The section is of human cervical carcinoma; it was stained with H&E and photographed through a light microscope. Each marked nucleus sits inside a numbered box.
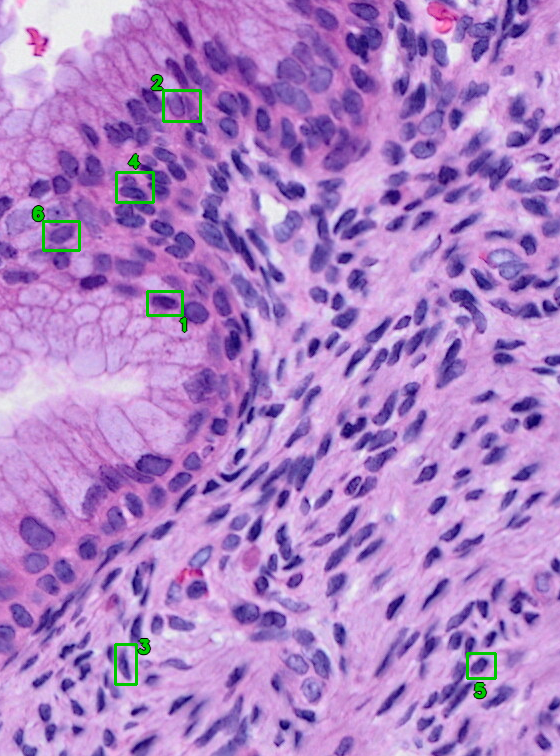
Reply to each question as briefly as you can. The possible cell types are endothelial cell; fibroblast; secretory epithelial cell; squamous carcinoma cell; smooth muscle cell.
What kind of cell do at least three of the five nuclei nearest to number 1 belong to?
secretory epithelial cell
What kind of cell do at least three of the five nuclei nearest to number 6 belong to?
secretory epithelial cell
